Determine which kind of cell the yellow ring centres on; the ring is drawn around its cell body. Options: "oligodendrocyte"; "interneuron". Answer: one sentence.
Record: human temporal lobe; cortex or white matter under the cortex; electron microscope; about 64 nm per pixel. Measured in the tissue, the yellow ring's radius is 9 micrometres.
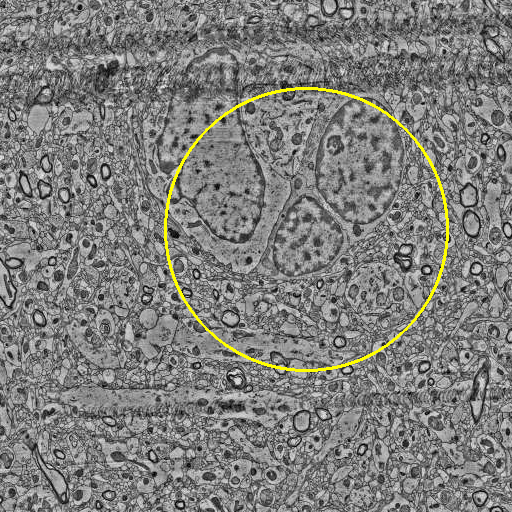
The ring centres on an oligodendrocyte.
